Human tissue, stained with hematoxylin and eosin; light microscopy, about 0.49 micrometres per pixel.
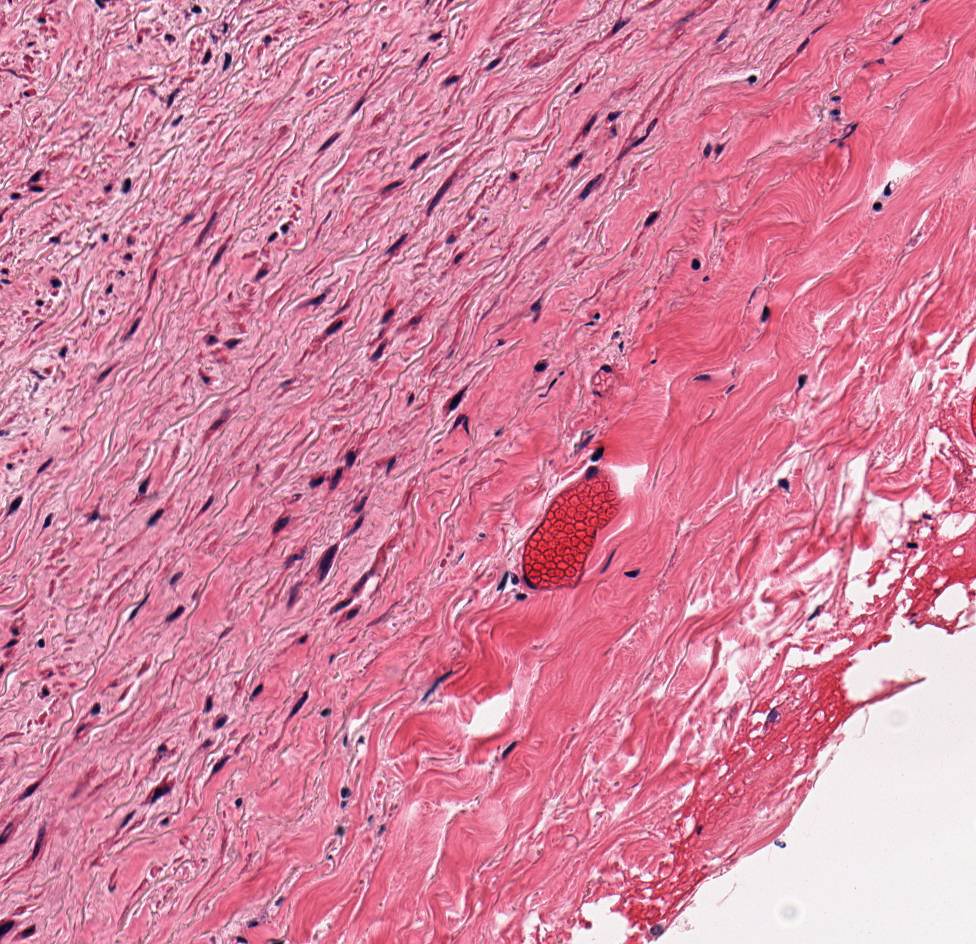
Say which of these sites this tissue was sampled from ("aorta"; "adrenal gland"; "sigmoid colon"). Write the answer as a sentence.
The site this tissue was sampled from is the aorta.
